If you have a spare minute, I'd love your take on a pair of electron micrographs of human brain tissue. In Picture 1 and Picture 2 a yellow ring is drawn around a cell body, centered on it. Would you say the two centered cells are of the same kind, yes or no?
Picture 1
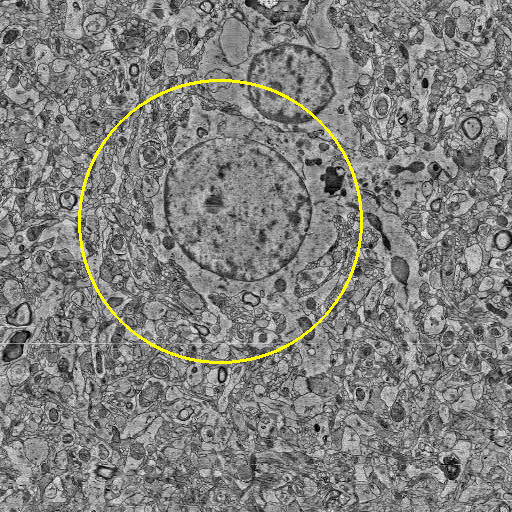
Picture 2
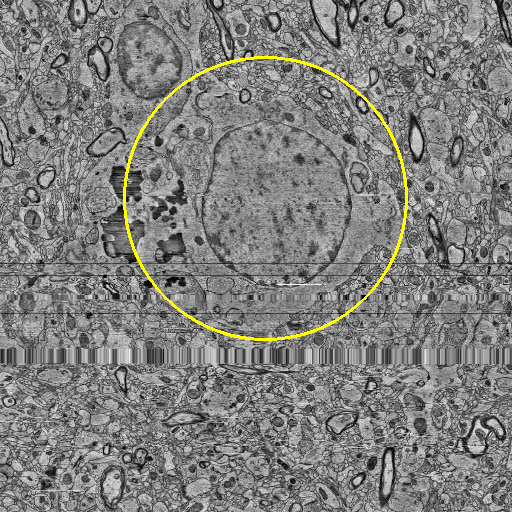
yes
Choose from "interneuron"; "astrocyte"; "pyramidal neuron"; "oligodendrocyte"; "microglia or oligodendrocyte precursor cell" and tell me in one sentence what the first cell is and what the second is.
The cell in the first picture is an astrocyte, and so is the one in the second.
